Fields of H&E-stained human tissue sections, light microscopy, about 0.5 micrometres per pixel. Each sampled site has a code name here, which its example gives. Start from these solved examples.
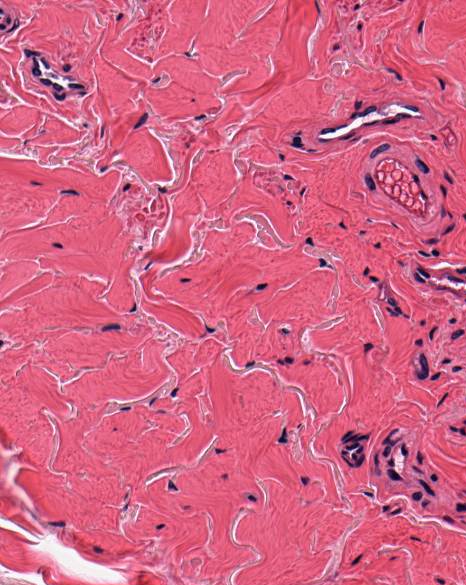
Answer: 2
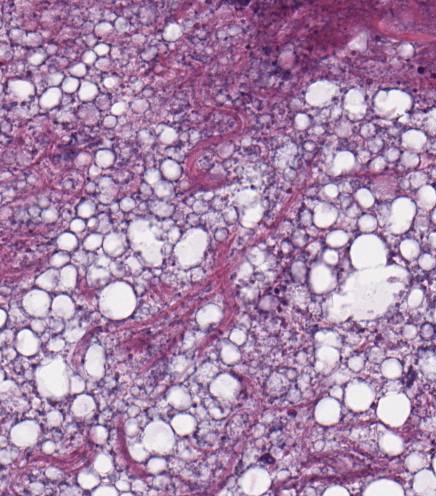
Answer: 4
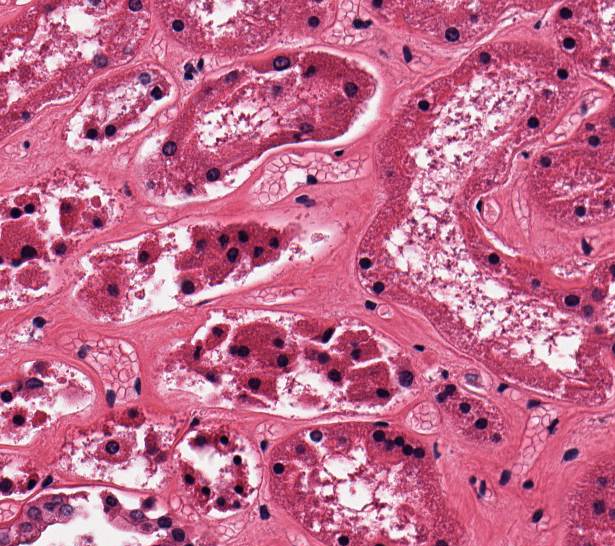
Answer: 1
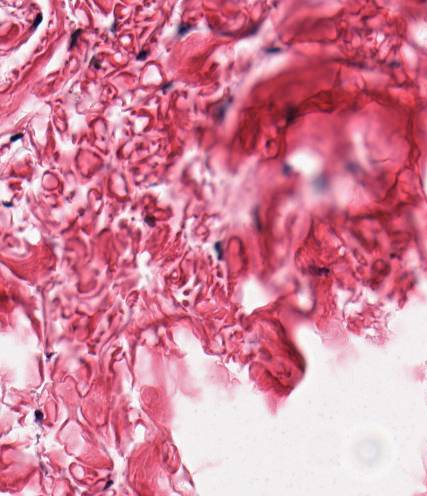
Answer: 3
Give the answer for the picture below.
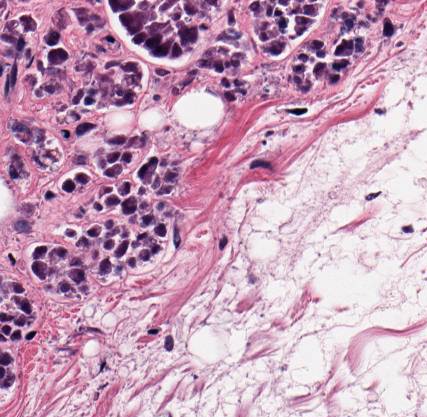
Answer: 4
